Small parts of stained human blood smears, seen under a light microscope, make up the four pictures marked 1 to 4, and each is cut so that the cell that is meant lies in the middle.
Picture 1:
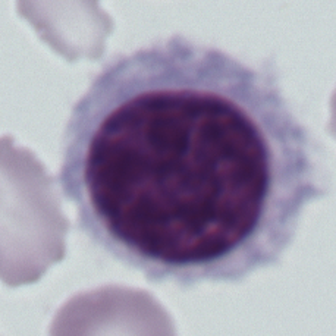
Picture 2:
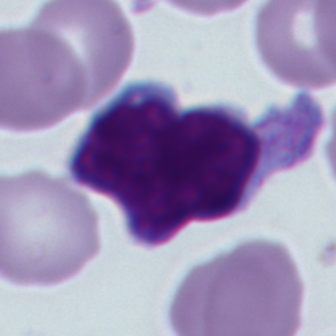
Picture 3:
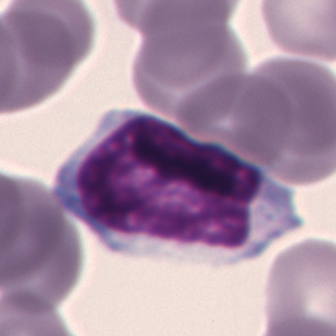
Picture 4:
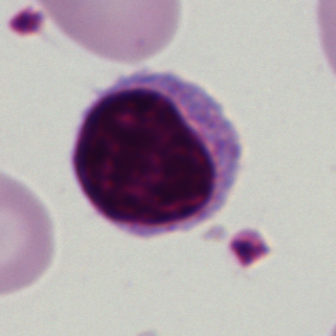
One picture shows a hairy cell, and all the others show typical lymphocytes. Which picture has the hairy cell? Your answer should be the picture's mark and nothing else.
1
